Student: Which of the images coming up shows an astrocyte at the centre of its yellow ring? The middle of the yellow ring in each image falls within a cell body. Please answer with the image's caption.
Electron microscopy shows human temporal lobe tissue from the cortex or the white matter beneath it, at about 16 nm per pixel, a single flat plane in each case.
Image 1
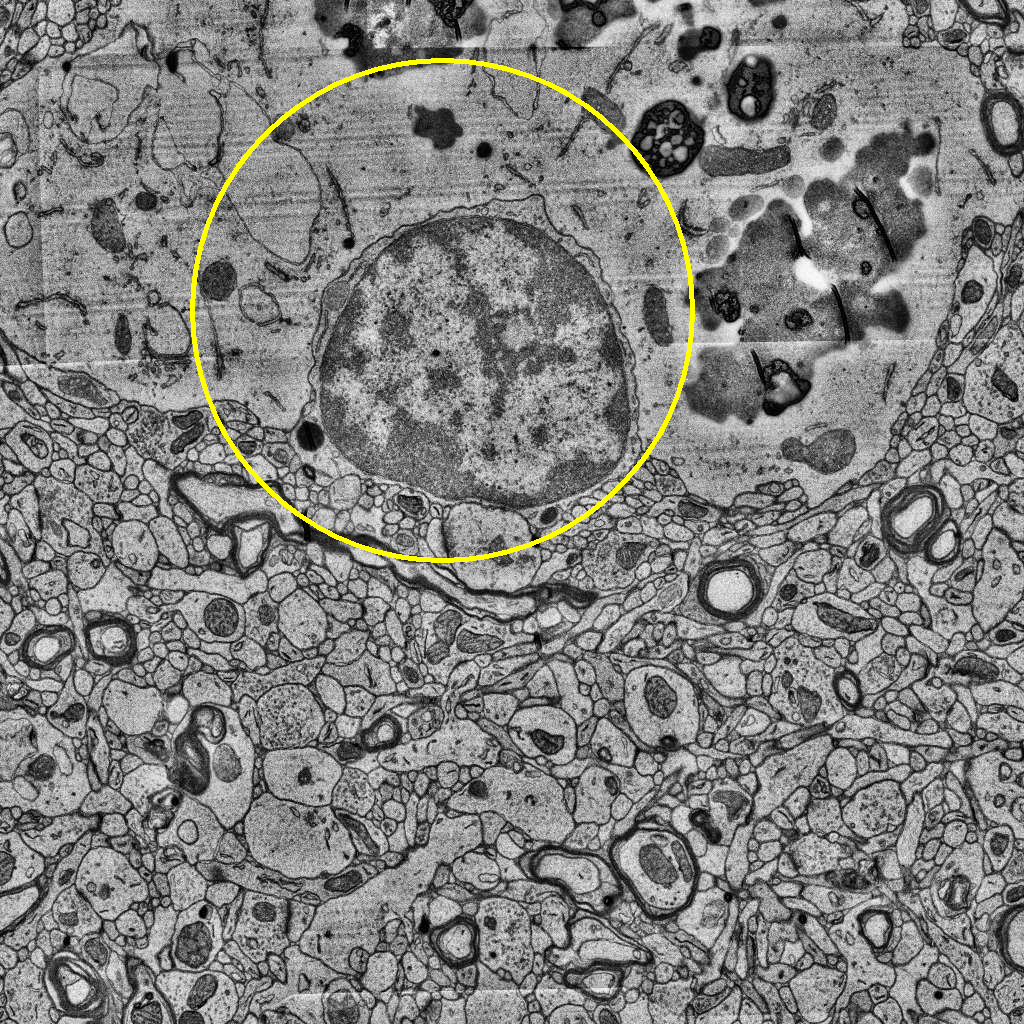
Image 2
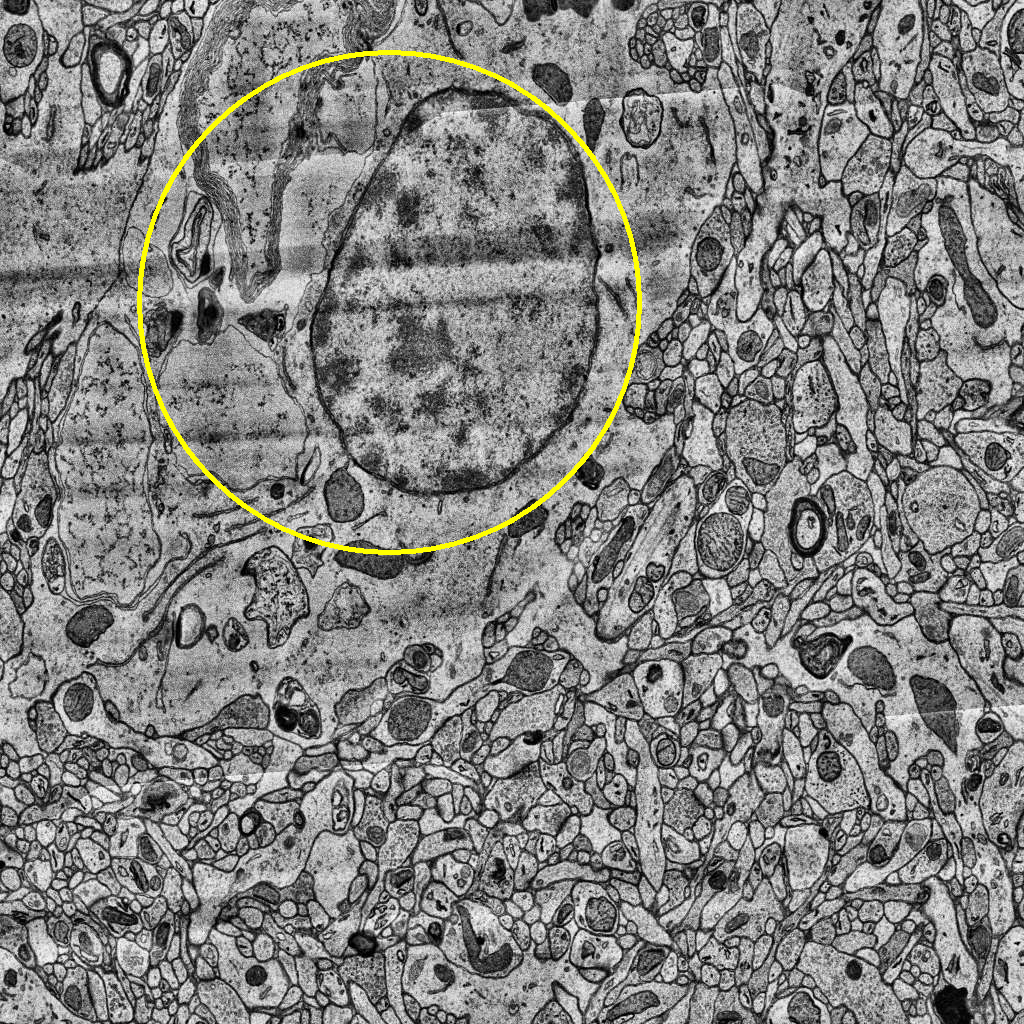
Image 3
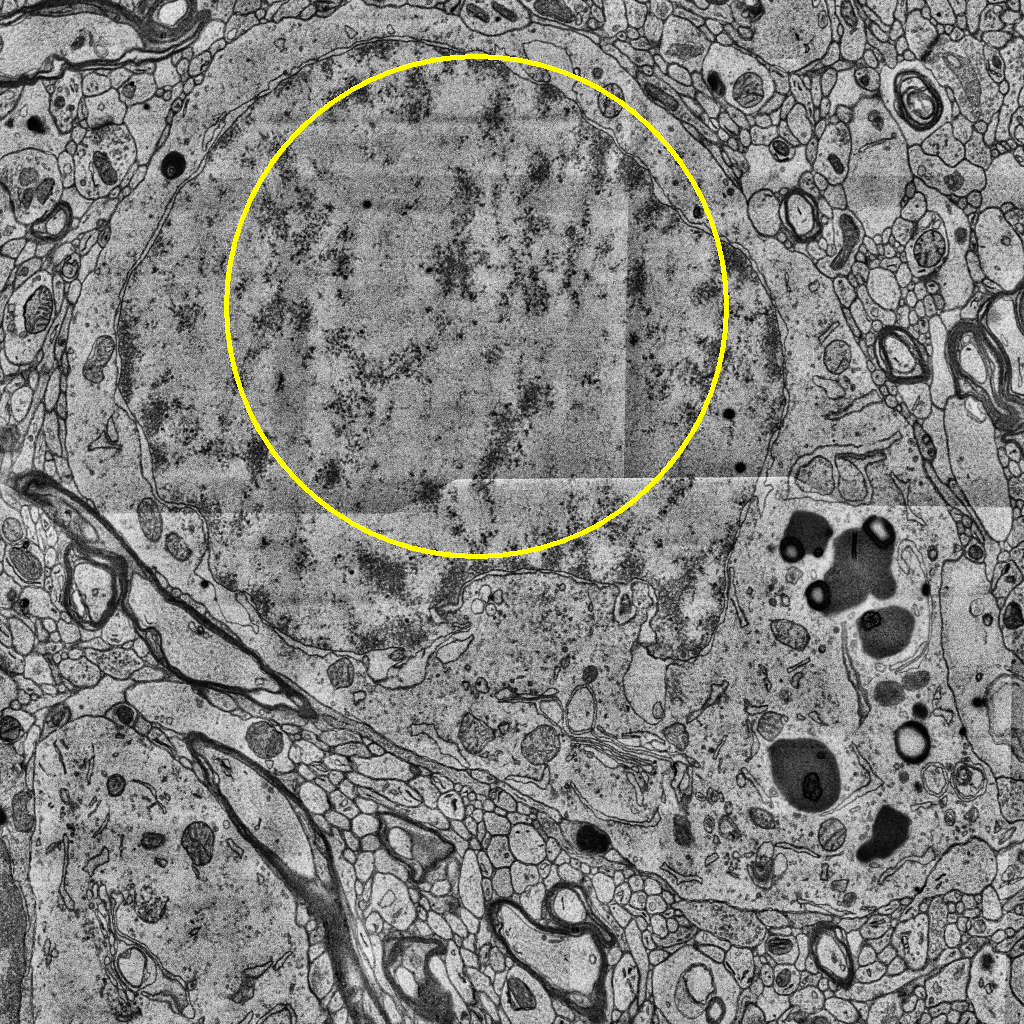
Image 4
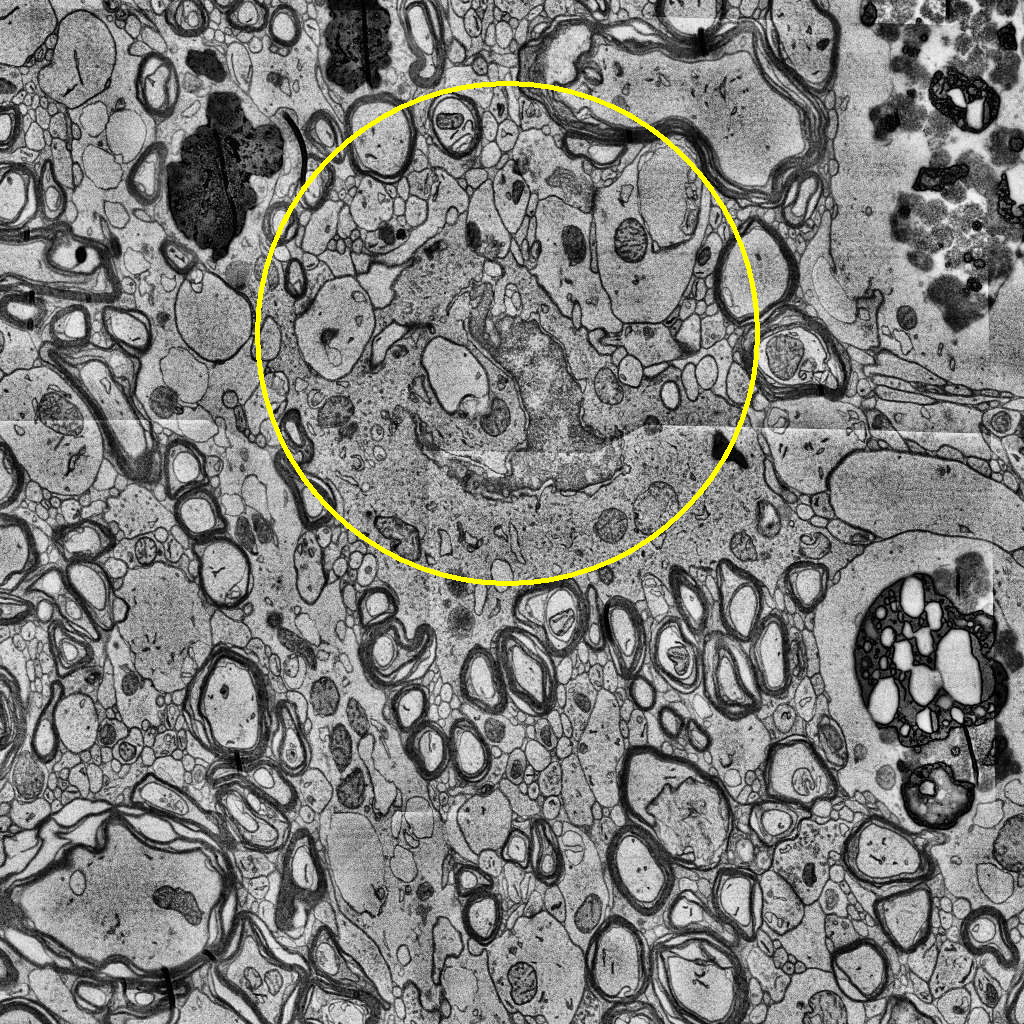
Image 2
